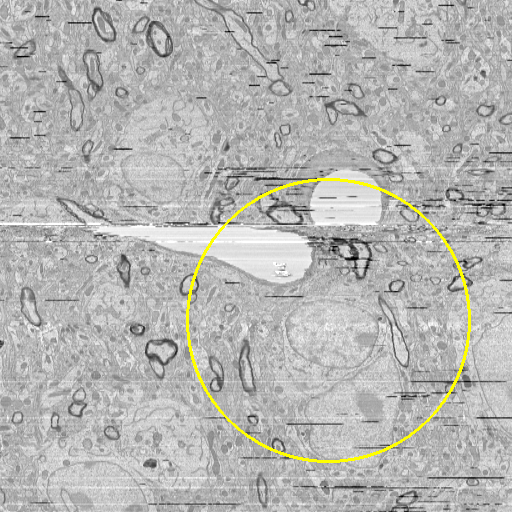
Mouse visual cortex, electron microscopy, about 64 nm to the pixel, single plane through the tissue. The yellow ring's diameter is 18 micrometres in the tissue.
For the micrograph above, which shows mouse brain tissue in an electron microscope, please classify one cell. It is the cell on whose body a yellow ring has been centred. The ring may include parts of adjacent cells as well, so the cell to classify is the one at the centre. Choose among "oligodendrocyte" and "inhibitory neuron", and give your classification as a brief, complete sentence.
I classify this cell as an oligodendrocyte.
